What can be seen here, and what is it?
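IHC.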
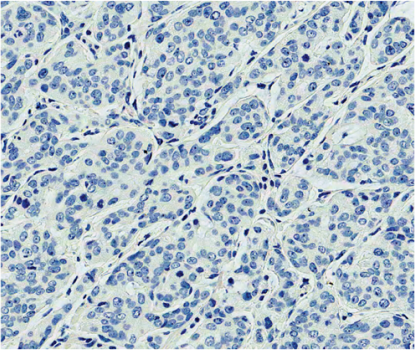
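This is tumor tissue in which densely packed tumor cells form solid nests separated by thin bands of pale fibrous stroma. All nuclei are stained blue, with no brown staining visible. The tumor cell nuclei are round to oval and vesicular, some with visible nucleoli, and sit within pale, lightly stained cytoplasm. Stromal strands contain thinner, elongated, darker blue nuclei running along the fibers between the nests.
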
